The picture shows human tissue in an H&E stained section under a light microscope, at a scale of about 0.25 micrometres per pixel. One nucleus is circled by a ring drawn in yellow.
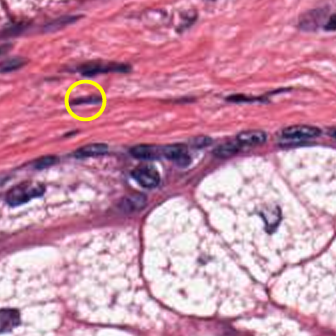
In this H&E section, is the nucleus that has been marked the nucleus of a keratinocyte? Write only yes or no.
no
